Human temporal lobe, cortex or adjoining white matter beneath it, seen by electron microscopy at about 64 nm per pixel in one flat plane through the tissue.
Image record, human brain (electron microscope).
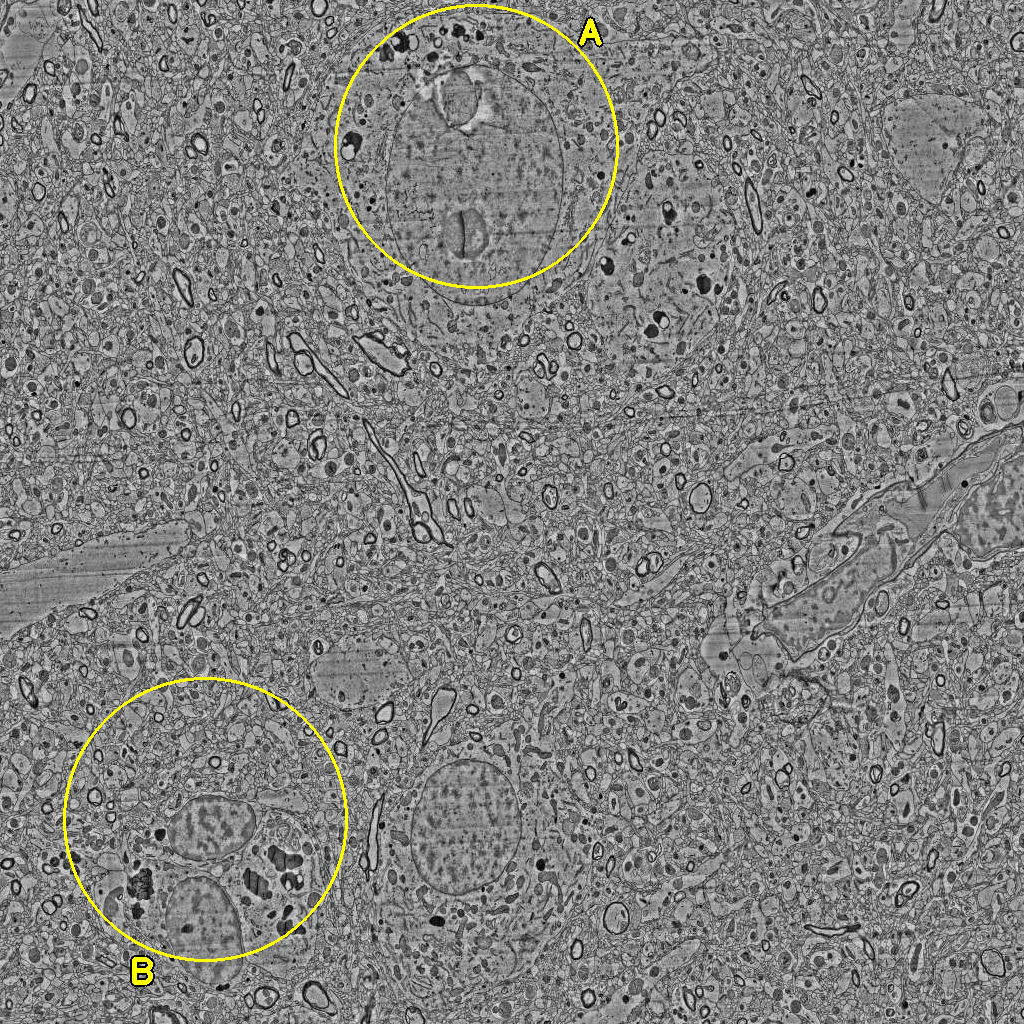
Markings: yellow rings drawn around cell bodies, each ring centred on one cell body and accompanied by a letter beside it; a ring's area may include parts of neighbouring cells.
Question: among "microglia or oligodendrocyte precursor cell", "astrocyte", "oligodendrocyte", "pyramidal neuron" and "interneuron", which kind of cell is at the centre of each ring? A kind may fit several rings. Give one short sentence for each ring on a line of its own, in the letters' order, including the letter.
Ring A is centred on the cell body of a pyramidal neuron.
Ring B is centred on the cell body of a microglial cell or oligodendrocyte precursor cell.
